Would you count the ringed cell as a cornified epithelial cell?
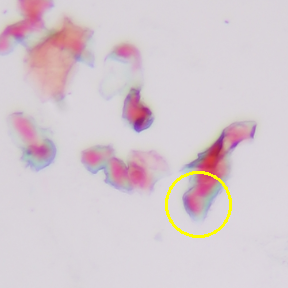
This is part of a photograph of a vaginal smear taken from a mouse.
No, I would count it as a nucleated epithelial cell.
